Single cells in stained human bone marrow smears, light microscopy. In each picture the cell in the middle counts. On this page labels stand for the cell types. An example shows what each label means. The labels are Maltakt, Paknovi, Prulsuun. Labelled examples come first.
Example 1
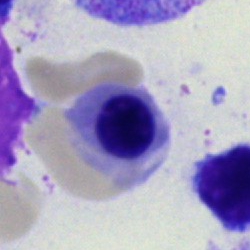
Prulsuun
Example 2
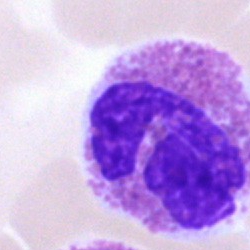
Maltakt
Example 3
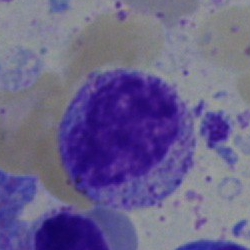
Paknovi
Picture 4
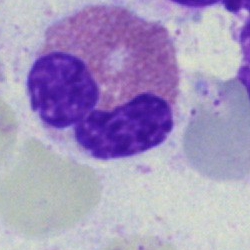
Maltakt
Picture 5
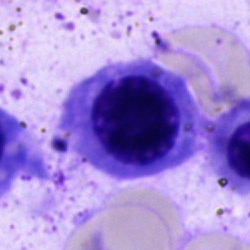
Prulsuun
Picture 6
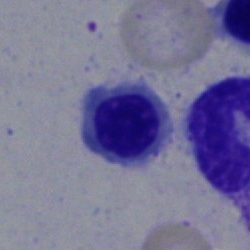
Prulsuun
